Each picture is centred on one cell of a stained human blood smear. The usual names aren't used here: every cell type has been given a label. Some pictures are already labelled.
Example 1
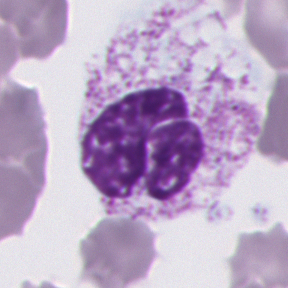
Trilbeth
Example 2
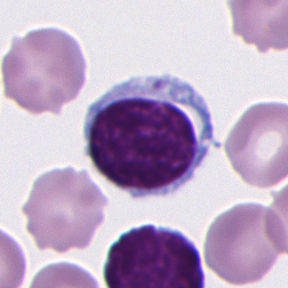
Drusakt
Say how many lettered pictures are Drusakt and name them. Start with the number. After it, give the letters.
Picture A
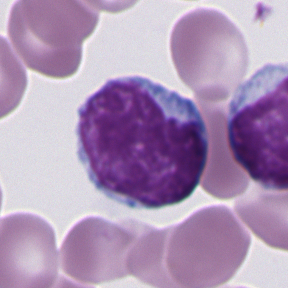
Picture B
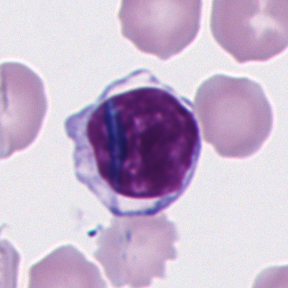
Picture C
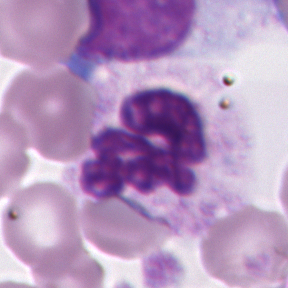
2: A, B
